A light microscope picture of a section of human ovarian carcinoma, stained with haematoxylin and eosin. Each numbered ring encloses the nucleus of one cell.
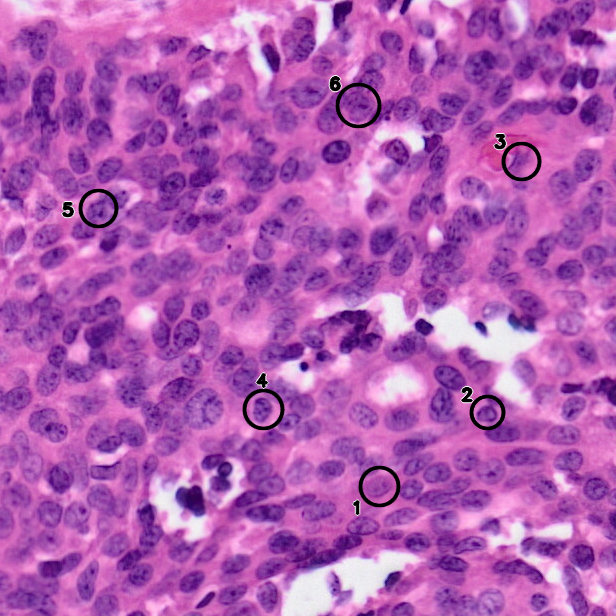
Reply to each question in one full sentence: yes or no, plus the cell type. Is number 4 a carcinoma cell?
No; cell 4 is a macrophage or monocyte, not a carcinoma cell.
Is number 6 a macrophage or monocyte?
No, the cell at number 6 is a carcinoma cell instead of a macrophage or monocyte.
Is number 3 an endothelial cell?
Yes, within this section, cell number 3 is an endothelial cell.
